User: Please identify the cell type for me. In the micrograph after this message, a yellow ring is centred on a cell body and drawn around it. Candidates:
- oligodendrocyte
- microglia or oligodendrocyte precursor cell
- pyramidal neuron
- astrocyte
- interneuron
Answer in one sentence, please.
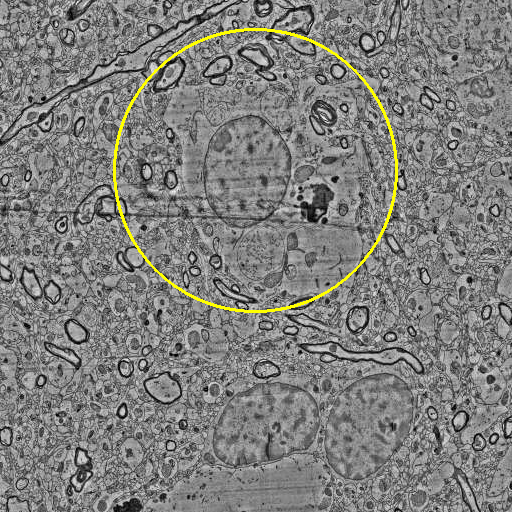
The ring is drawn around the cell body of an astrocyte.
